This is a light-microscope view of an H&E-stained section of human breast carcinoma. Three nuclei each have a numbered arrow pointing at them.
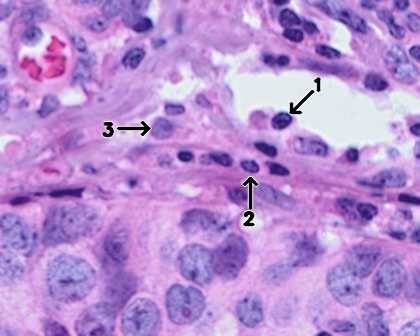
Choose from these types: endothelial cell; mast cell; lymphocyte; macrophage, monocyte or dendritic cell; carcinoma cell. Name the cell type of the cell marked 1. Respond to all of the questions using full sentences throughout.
Number 1 among the marked cells is a lymphocyte.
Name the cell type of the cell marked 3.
Cell 3, among those numbered, is a macrophage, monocyte or dendritic cell.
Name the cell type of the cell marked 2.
The cell bearing label 2 corresponds to a lymphocyte.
